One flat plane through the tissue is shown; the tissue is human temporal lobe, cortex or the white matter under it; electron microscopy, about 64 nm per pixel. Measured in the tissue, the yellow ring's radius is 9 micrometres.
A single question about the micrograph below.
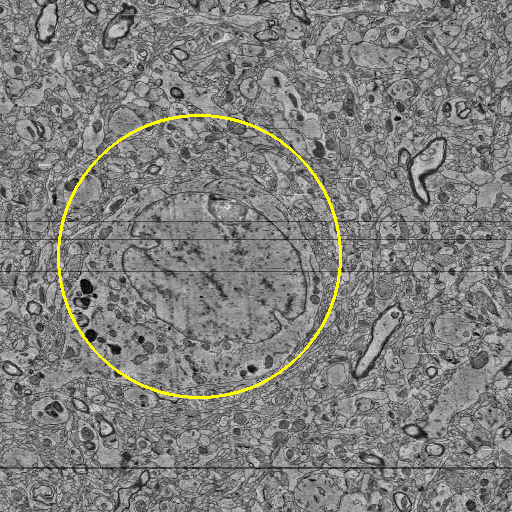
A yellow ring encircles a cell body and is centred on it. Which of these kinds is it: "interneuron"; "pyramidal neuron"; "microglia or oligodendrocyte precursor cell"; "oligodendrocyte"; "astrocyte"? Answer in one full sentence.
The cell body at the centre of the yellow ring belongs to a pyramidal neuron.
